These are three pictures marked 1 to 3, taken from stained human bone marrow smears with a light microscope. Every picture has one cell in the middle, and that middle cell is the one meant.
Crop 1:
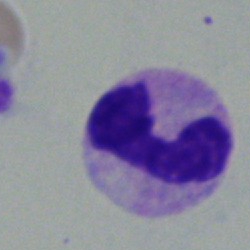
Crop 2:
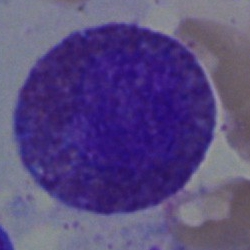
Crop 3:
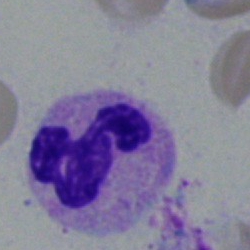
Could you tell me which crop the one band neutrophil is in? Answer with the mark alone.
1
